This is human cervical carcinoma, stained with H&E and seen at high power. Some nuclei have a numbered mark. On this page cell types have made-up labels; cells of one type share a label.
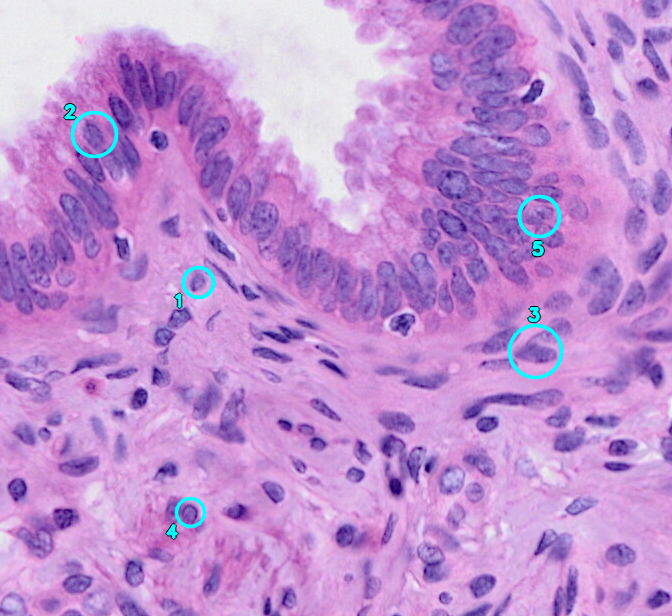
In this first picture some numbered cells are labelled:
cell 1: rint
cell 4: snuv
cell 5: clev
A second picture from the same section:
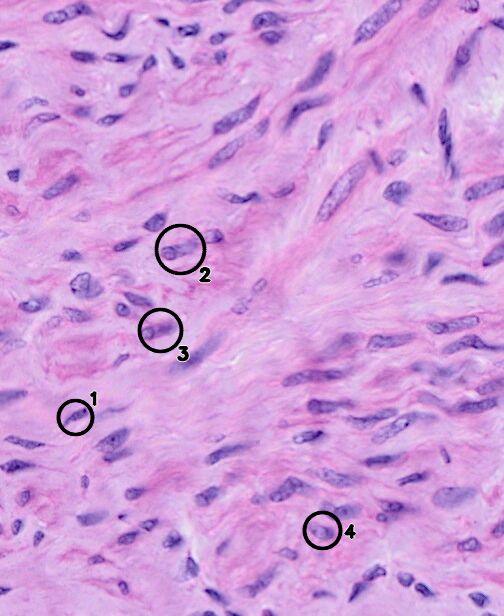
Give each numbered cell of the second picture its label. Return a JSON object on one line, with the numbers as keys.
{"1": "rint", "2": "snuv", "3": "snuv", "4": "snuv"}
